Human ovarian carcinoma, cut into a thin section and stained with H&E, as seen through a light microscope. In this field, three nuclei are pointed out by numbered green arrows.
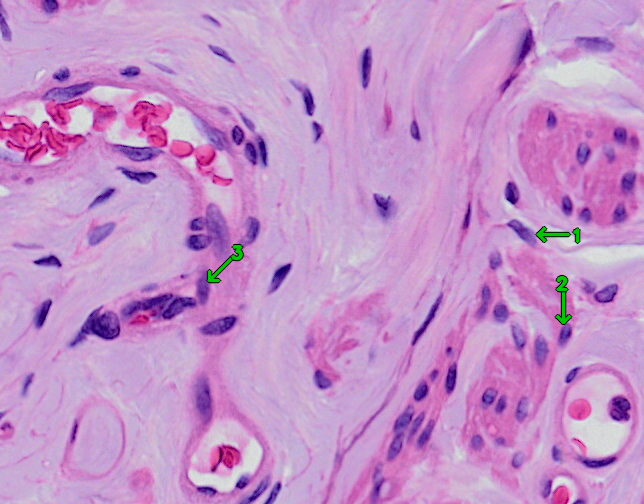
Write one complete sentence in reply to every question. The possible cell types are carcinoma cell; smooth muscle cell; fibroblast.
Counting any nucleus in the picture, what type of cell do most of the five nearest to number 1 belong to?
Smooth muscle cells make up most of the five nuclei closest to number 1.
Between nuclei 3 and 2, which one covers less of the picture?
Number 2 is smaller, since number 3 takes up about 2 times as much area.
